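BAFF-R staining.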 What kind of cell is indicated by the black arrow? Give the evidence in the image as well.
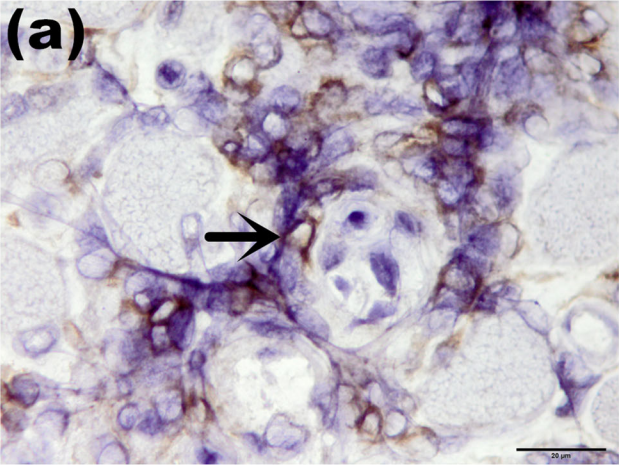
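Inflammatory cells. Many small round cells with dark nuclei crowd the spaces between the rounded fibers. The marked cell has a brown-stained rim at its surface.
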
